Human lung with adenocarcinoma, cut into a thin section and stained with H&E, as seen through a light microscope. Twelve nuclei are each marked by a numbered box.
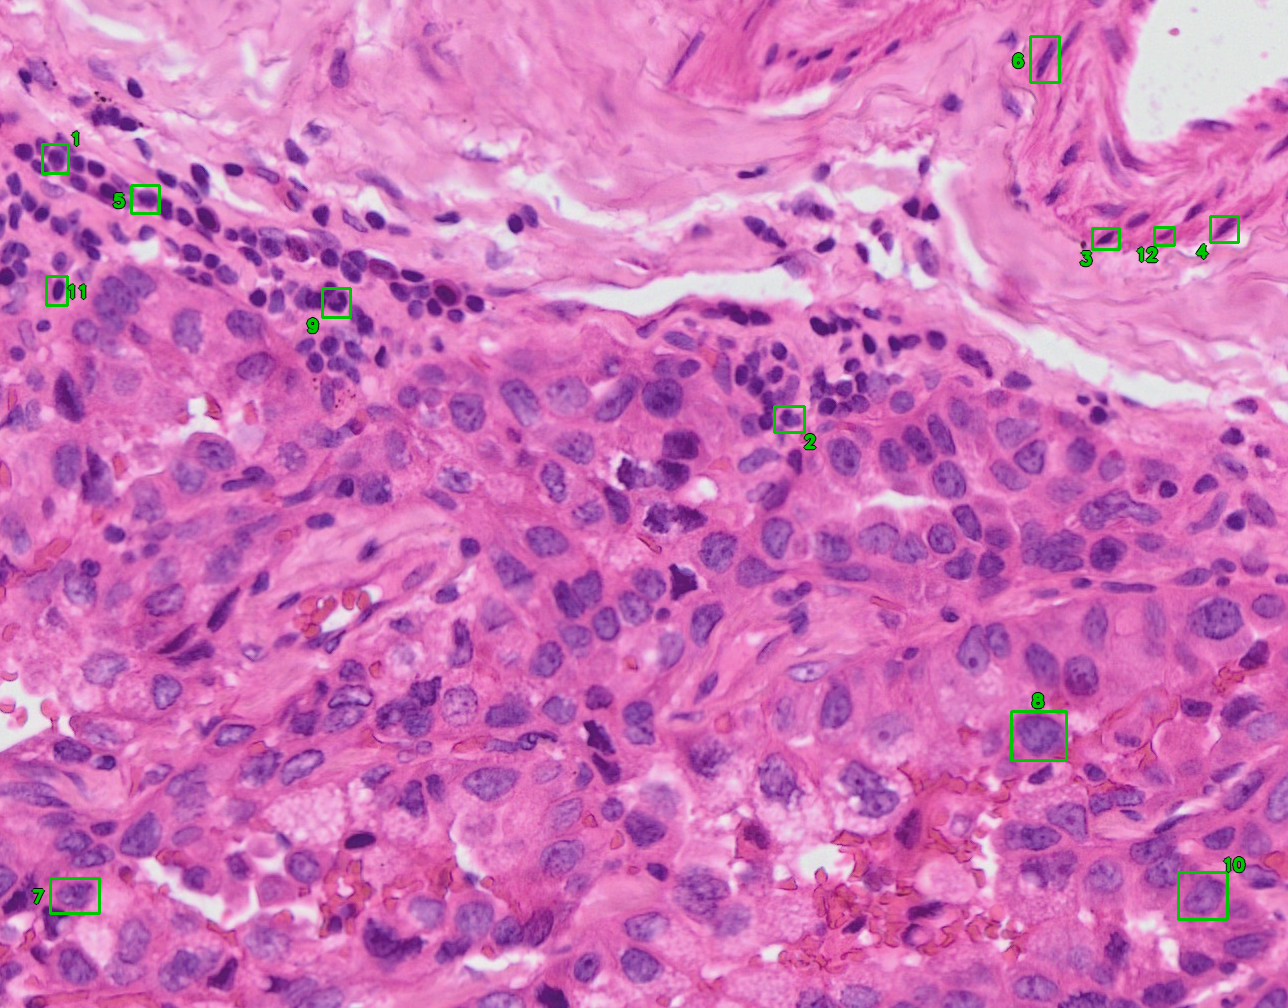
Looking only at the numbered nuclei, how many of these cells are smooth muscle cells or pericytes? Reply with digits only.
4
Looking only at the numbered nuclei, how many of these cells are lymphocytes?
5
